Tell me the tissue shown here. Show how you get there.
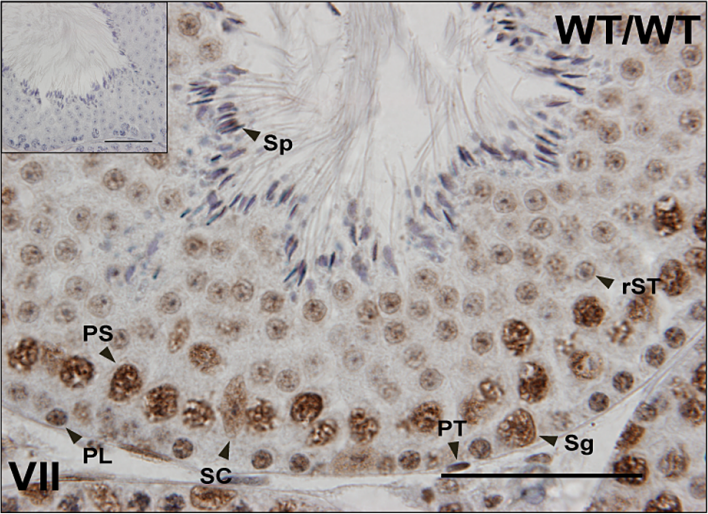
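A tubule with many layers of round cells surrounds a central lumen. Slender cell heads with long tails fill the lumen. A thin flattened cell layer borders the outside of the tubule. The answer: testis.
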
